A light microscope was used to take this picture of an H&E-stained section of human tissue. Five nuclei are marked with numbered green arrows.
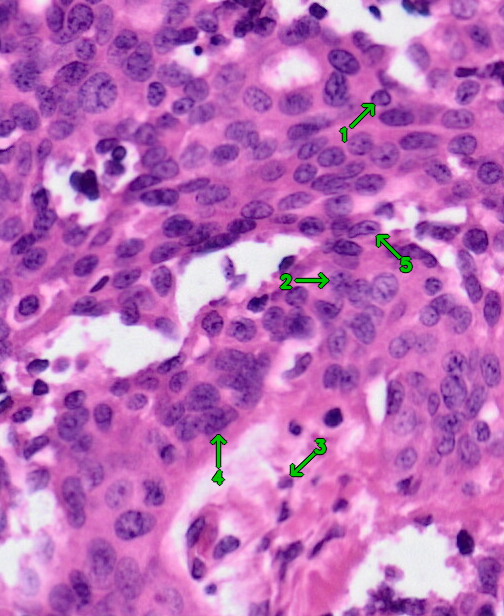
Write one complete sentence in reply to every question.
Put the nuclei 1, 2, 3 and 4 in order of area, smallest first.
By area, going up from the smallest, they rank 3, 1, 2, 4.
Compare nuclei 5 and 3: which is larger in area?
Nucleus 5 is larger, with an area about 2.5 times that of nucleus 3.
